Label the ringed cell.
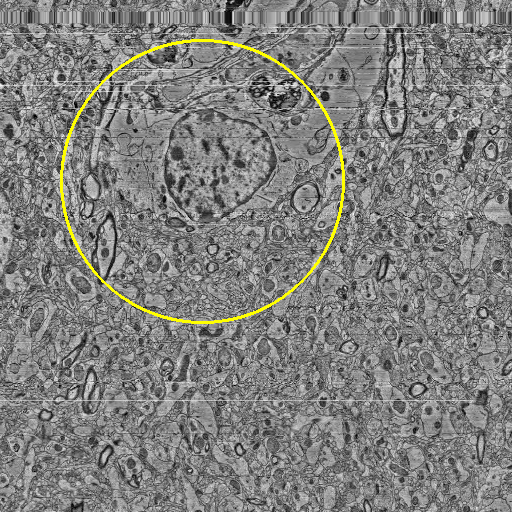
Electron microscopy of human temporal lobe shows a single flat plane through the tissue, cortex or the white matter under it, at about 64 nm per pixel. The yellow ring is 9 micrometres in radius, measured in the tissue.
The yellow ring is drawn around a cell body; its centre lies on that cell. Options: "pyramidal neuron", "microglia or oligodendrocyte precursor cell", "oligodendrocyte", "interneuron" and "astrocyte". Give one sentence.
The ringed cell is a microglial cell or oligodendrocyte precursor cell.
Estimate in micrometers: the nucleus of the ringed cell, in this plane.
About 7 micrometres across in this plane, for the nucleus.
